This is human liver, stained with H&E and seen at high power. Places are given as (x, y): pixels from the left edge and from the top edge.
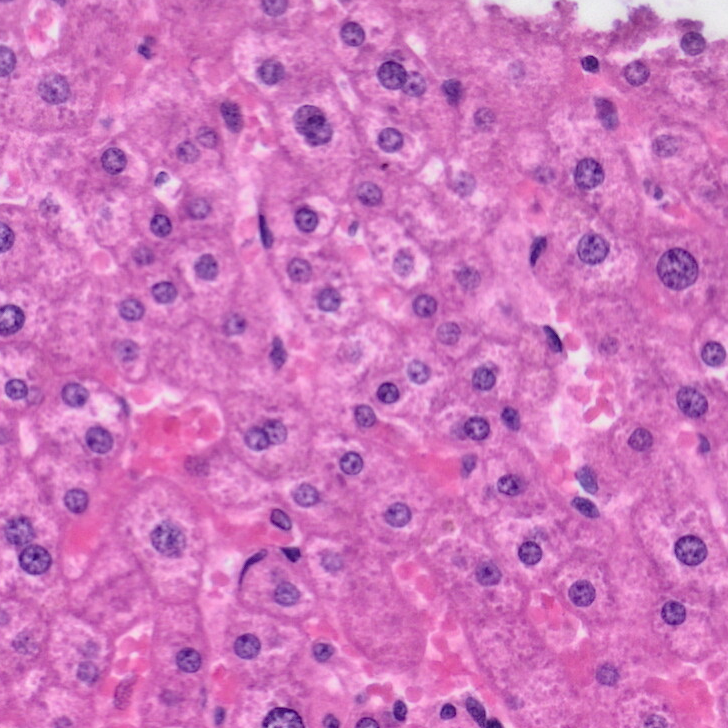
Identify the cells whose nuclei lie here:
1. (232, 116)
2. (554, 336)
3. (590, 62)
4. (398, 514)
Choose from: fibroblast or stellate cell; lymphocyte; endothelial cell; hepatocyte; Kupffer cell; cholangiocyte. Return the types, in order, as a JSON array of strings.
["Kupffer cell", "endothelial cell", "lymphocyte", "hepatocyte"]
